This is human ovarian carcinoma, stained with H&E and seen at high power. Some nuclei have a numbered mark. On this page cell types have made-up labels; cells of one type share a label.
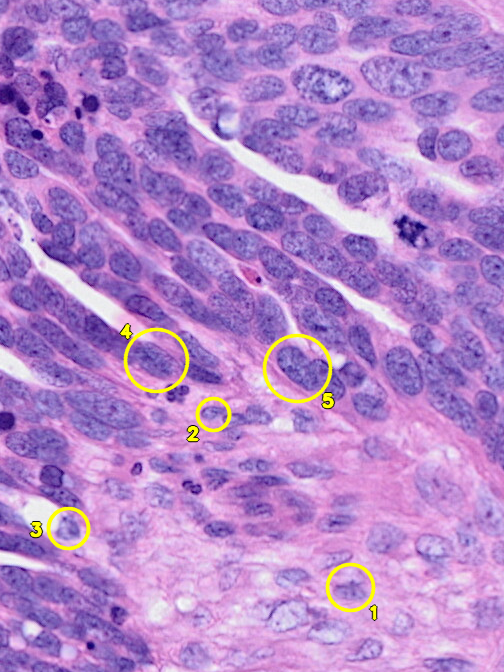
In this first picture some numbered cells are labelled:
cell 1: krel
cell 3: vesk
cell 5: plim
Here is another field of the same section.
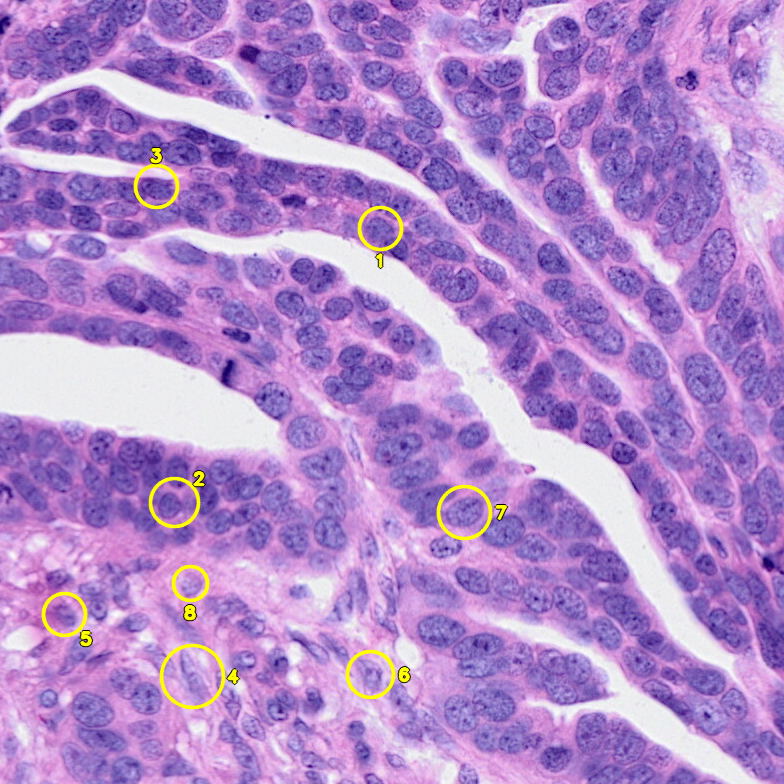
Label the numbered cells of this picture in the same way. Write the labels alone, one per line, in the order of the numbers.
plim
plim
plim
krel
vesk
krel
plim
krel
